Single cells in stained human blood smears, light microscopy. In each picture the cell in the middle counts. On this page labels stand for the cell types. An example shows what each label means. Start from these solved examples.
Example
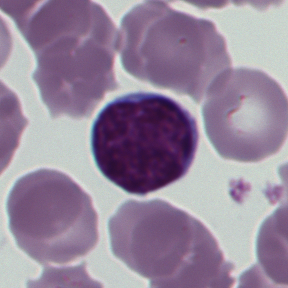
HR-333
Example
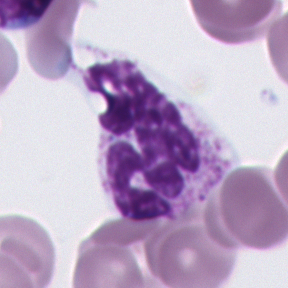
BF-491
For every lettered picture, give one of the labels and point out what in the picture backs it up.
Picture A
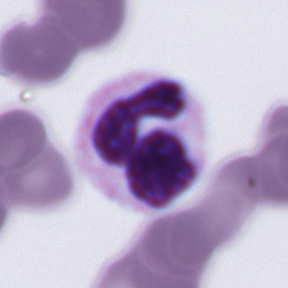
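BF-491. Reason: The nucleus is made of two lobes.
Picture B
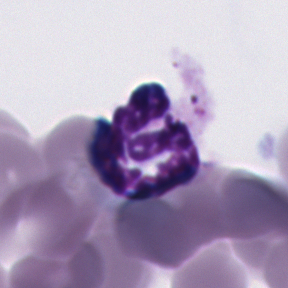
BF-491. Reason: A pale, unstained space lies in the centre of the cell between the nuclear lobes.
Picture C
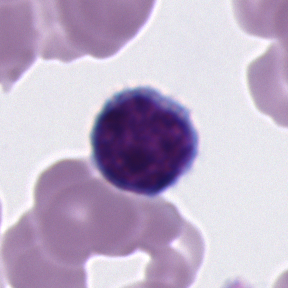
HR-333. Reason: Only a very thin rim of cytoplasm shows around the nucleus.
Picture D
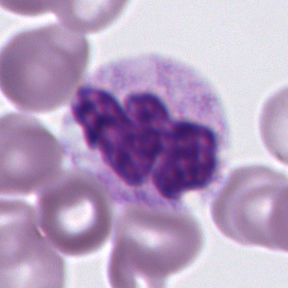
BF-491. Reason: The nucleus is divided into several lobes joined in a row across the cell.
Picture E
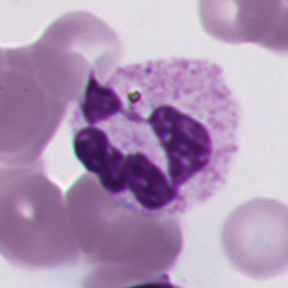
BF-491. Reason: The nucleus is divided into several separate lobes.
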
